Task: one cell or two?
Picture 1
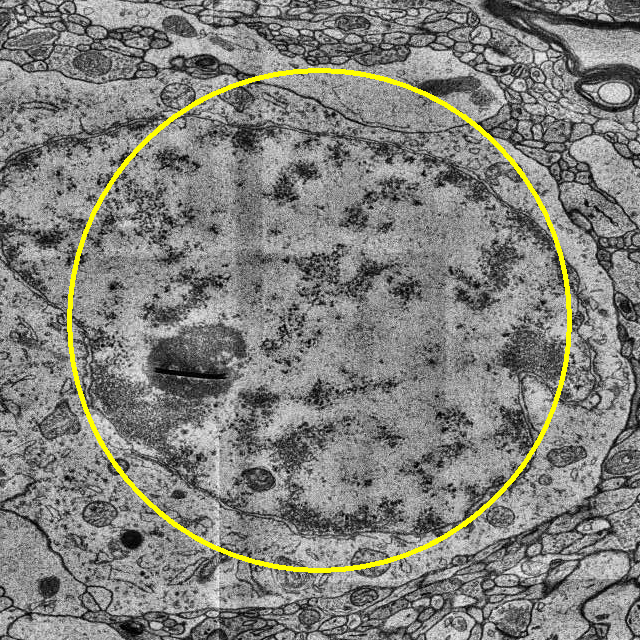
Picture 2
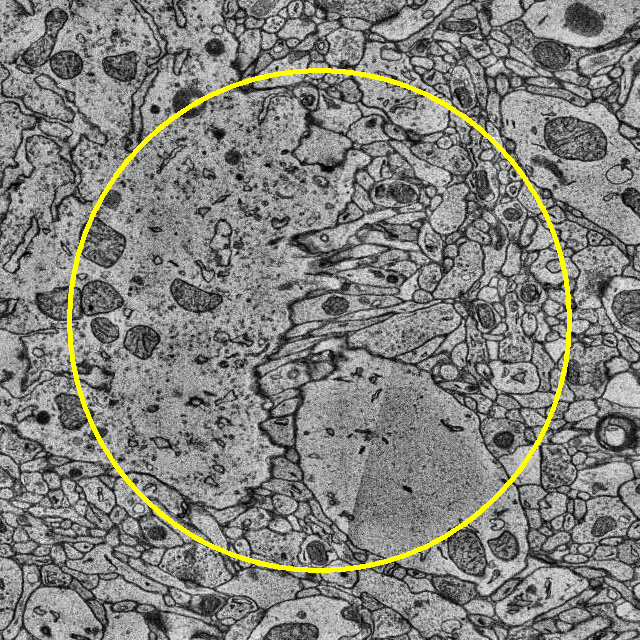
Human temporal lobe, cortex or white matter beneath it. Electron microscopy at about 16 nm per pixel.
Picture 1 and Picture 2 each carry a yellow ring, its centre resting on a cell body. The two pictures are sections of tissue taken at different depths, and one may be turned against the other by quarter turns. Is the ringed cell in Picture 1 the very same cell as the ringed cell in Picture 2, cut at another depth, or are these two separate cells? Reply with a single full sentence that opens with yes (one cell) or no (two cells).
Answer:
No, the rings mark two cells rather than a single cell.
